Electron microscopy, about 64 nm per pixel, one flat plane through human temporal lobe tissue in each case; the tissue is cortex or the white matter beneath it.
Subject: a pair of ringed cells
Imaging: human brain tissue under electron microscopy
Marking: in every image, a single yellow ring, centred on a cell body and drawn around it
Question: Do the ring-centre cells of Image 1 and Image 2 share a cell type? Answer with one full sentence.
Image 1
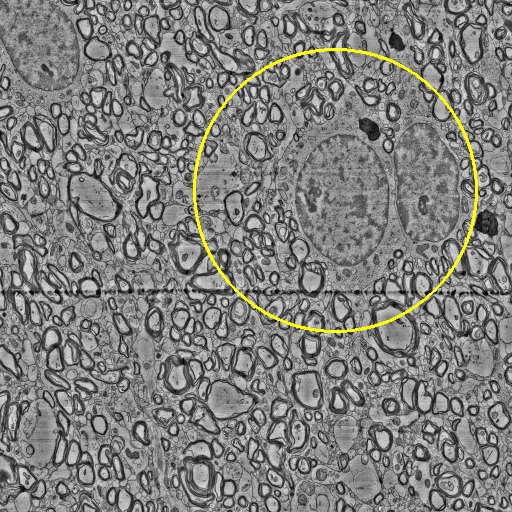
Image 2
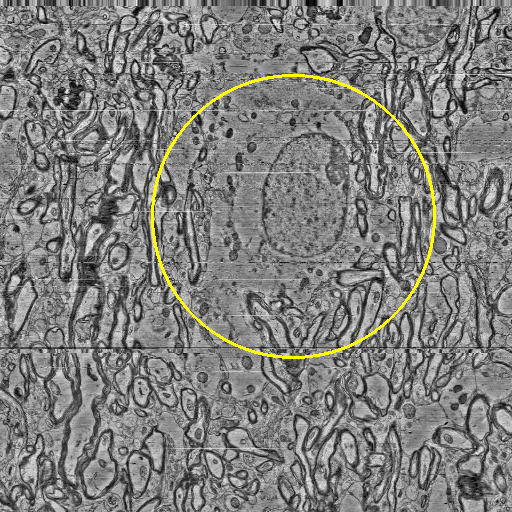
No, at the ring centres in the images sit cells of two separate types.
